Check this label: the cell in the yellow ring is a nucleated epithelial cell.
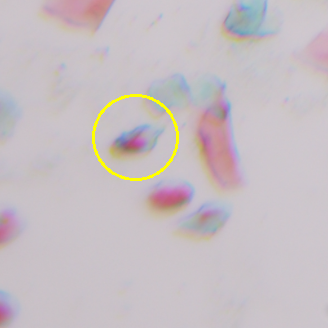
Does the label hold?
The label holds; the cell is a nucleated epithelial cell.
